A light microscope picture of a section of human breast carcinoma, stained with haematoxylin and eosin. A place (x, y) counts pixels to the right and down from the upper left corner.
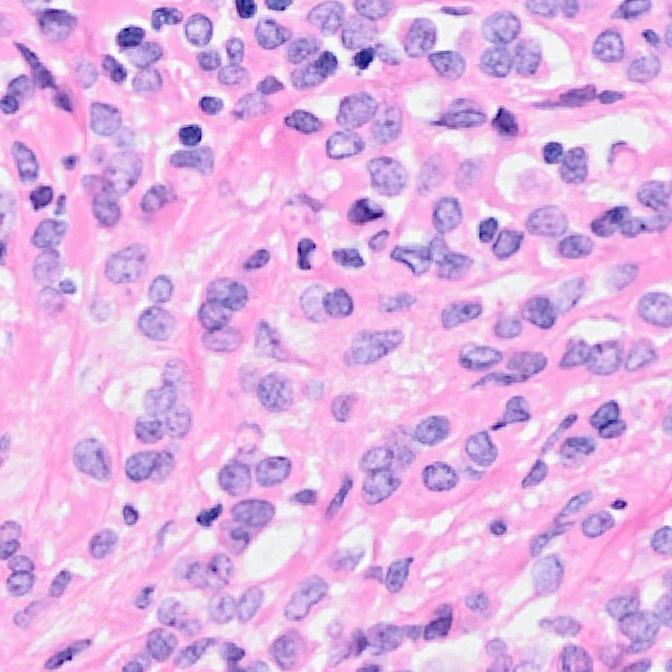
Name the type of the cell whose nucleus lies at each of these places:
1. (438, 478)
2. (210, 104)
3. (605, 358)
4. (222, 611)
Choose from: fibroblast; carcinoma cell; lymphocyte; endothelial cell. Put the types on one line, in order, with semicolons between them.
carcinoma cell; lymphocyte; carcinoma cell; carcinoma cell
